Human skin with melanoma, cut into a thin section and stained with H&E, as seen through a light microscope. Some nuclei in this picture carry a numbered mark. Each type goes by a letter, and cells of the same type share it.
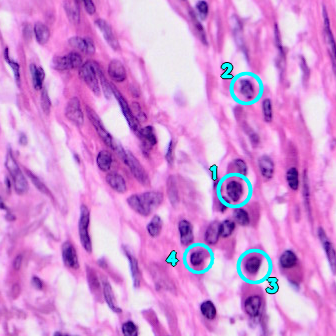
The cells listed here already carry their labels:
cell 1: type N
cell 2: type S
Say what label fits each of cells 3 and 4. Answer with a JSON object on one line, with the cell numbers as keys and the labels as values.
{"3": "type N", "4": "type N"}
